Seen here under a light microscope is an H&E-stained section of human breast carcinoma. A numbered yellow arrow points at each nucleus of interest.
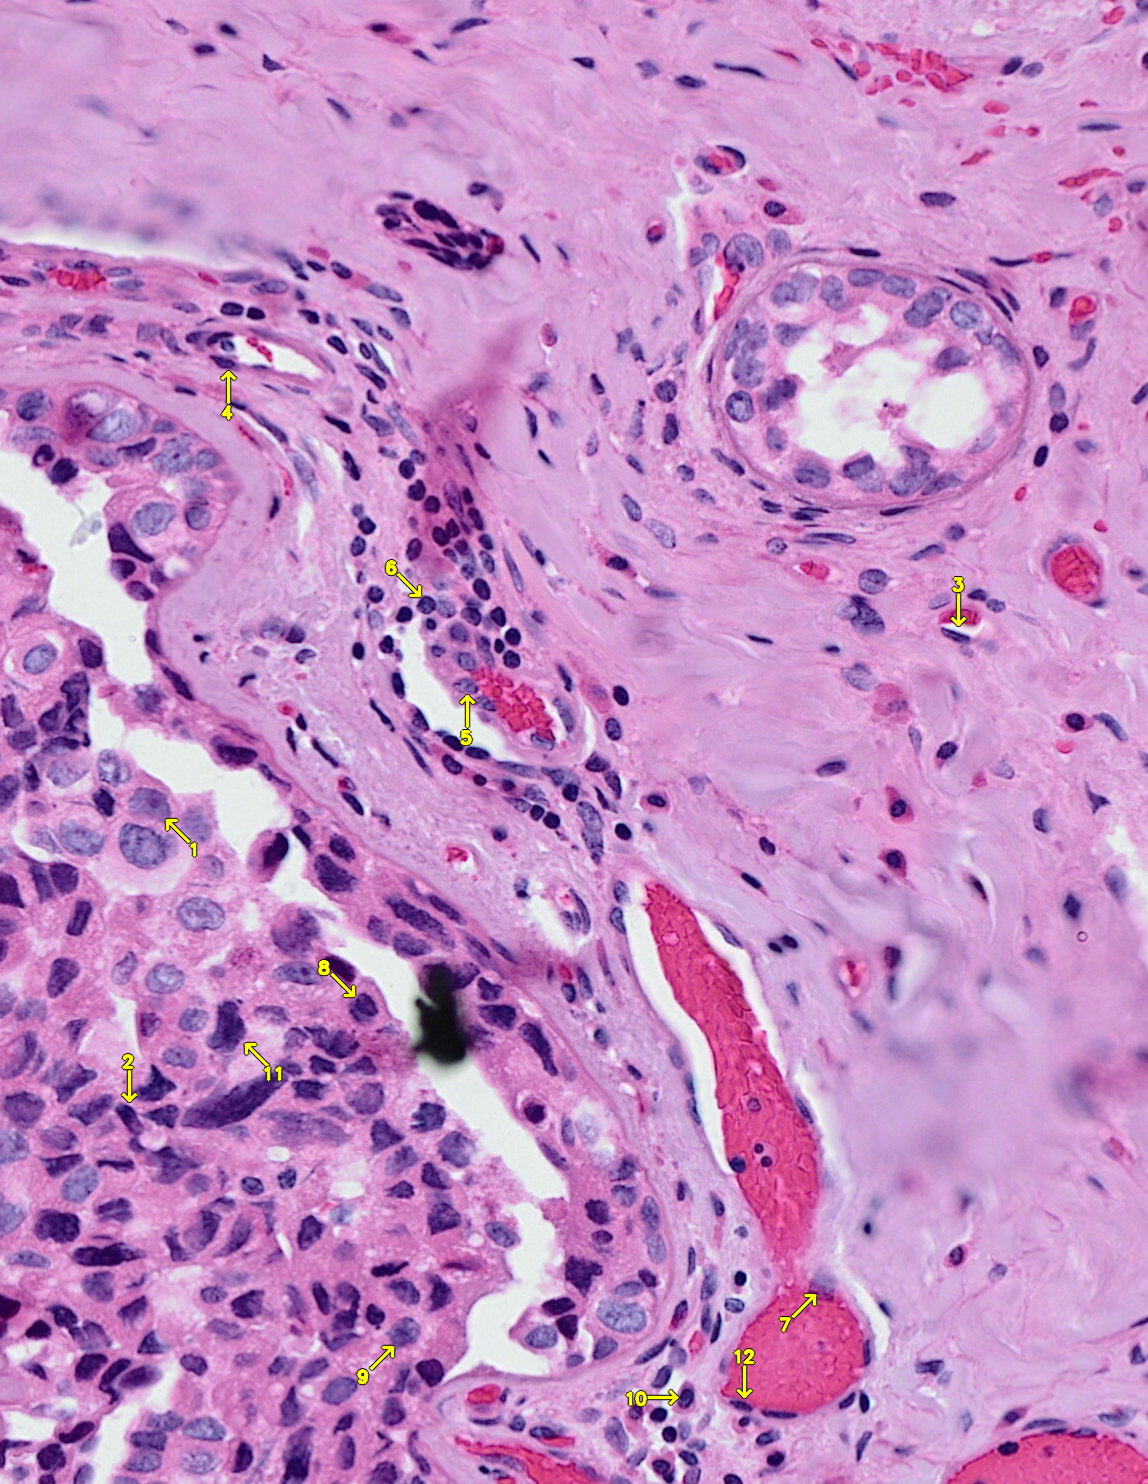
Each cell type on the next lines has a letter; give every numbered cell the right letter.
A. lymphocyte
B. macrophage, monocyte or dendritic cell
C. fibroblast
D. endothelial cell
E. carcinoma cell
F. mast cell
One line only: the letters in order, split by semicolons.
E; E; D; D; D; A; D; E; E; F; E; D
